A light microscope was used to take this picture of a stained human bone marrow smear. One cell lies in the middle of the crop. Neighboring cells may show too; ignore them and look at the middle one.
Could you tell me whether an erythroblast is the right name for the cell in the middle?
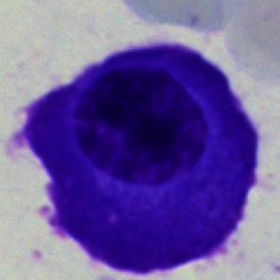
no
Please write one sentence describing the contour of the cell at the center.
No smooth contour is present; the border is ragged or extended into projections.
